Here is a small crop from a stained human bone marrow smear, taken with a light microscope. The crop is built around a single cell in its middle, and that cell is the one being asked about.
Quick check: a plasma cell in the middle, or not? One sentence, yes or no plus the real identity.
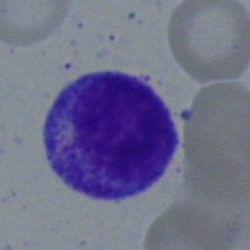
No, the cell sitting in the centre of the crop is a myelocyte, not a plasma cell.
